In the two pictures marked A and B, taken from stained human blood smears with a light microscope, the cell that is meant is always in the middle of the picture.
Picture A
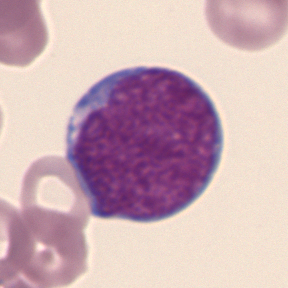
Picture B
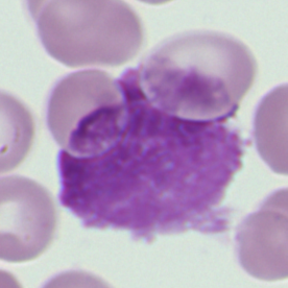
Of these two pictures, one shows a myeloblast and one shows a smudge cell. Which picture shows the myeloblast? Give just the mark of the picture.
A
